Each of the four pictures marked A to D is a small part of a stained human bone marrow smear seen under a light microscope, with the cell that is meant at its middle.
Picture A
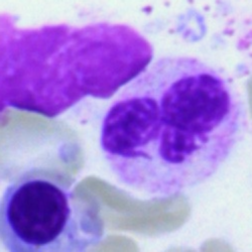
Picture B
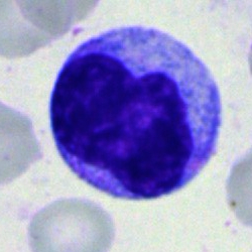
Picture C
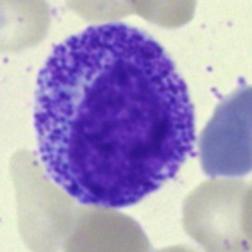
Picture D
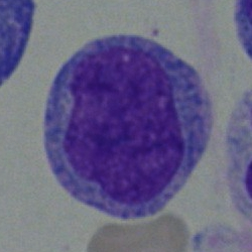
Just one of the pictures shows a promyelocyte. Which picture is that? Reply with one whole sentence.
Picture C shows the promyelocyte.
